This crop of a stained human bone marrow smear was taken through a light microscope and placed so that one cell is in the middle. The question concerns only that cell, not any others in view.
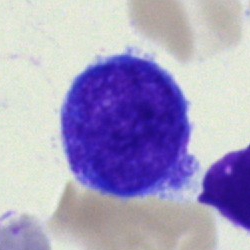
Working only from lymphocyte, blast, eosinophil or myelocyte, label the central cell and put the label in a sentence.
As for the central cell, it is a blast.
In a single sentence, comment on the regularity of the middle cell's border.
This cell has an uneven outline, either ragged or bearing projections.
